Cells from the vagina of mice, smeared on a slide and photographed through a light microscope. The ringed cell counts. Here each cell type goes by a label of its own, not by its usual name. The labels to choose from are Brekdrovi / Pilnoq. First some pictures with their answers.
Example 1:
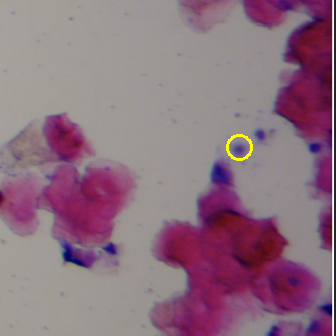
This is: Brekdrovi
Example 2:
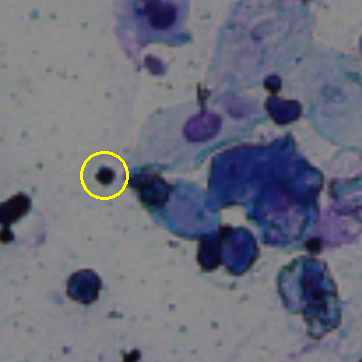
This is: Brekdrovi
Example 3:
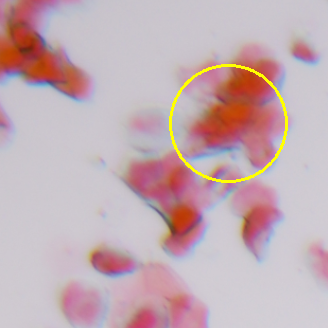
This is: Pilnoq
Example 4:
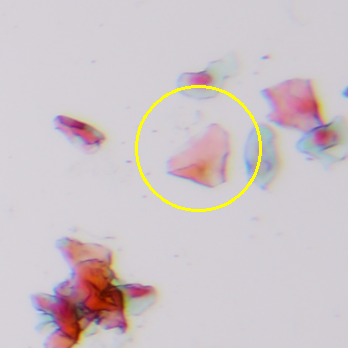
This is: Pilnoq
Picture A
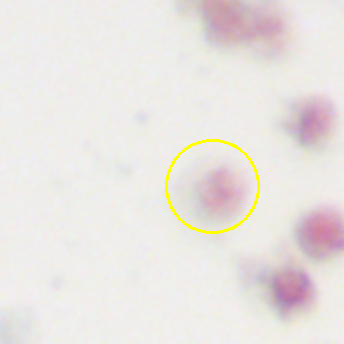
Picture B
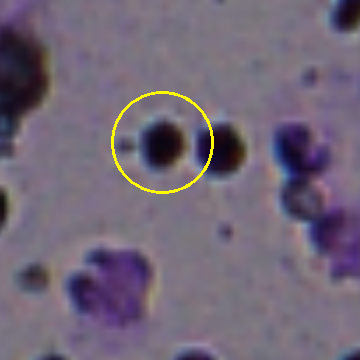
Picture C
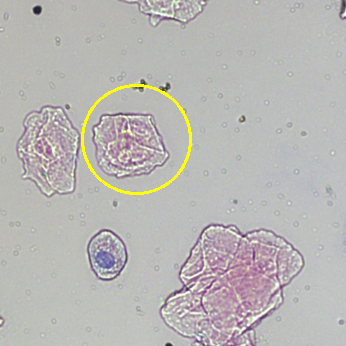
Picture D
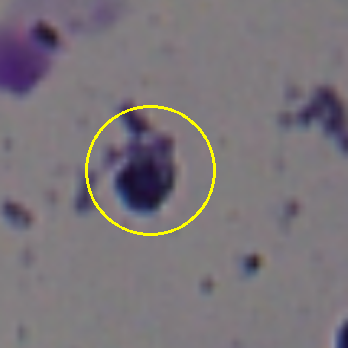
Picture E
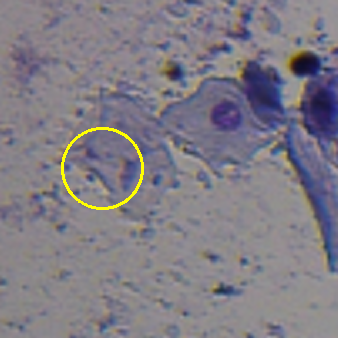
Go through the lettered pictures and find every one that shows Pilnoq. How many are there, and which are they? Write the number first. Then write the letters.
2: C, E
